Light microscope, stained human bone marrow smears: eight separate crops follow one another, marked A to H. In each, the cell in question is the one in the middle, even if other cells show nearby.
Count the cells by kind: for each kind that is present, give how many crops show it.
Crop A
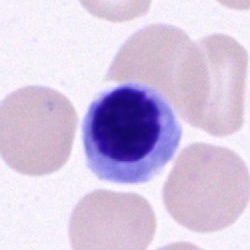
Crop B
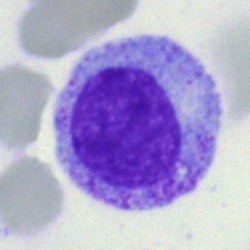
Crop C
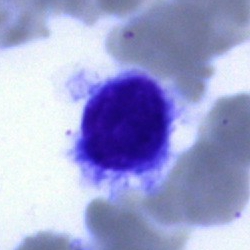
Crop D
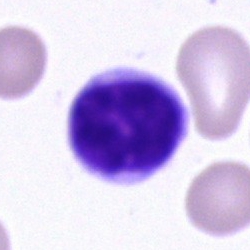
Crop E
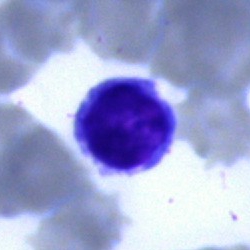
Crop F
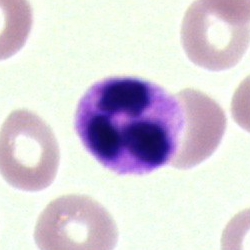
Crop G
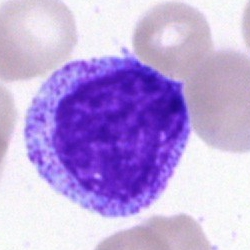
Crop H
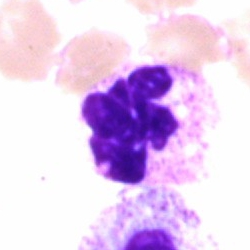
lymphocyte: 3
myelocyte: 2
segmented neutrophil: 2
erythroblast: 1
